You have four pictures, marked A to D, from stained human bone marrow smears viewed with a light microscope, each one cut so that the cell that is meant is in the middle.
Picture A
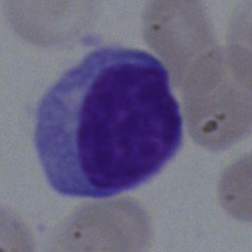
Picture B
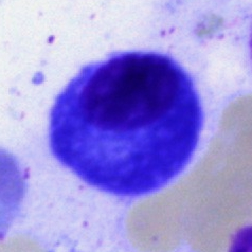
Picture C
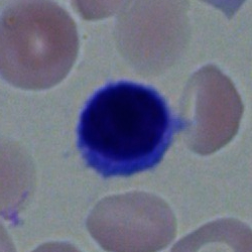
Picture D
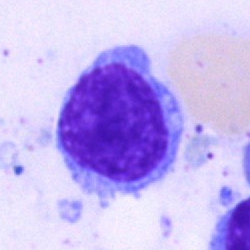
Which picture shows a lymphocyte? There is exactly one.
D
